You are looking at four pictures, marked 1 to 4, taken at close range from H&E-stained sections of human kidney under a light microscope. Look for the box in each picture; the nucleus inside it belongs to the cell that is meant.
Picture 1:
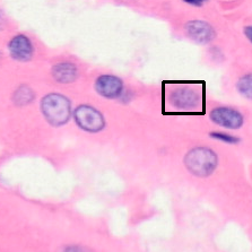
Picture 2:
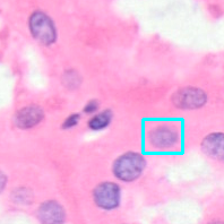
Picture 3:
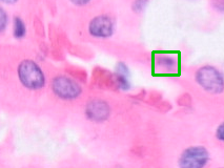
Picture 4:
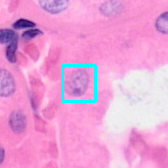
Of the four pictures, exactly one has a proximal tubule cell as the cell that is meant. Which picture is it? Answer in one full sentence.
The proximal tubule cell is the one in picture 4.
